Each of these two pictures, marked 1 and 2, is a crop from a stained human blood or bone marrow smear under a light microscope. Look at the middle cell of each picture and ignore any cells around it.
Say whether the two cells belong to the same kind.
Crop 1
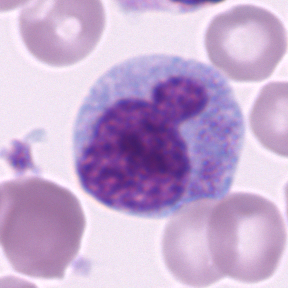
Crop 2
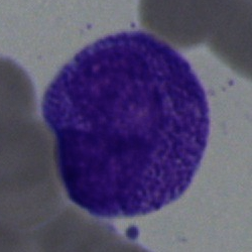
no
